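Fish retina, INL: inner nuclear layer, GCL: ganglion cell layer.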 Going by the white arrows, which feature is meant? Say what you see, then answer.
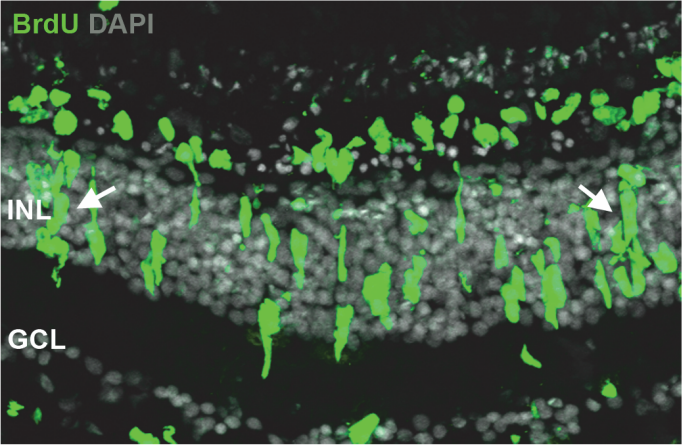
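Radial clusters of progenitors. These columns run perpendicular to the layers, across the inner nuclear layer.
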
